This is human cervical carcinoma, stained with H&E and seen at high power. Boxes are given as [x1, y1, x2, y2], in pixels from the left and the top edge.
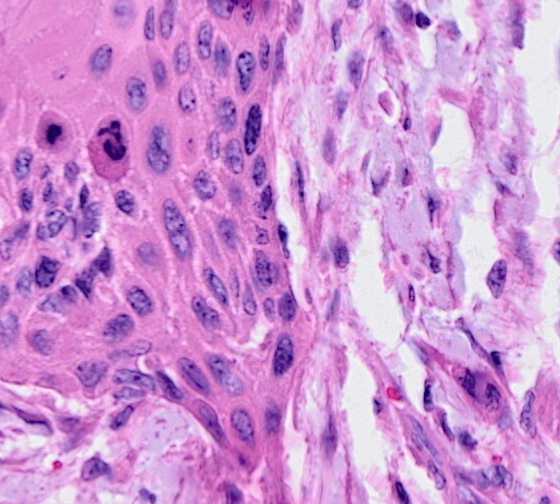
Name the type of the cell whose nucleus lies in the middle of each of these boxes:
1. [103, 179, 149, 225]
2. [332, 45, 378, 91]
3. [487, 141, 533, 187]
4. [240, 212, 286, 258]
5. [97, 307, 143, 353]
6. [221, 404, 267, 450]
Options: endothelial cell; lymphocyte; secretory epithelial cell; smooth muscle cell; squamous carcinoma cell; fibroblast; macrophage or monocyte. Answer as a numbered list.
1. squamous carcinoma cell
2. fibroblast
3. fibroblast
4. squamous carcinoma cell
5. squamous carcinoma cell
6. squamous carcinoma cell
